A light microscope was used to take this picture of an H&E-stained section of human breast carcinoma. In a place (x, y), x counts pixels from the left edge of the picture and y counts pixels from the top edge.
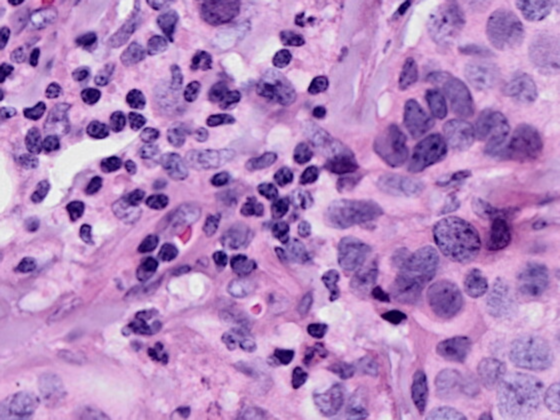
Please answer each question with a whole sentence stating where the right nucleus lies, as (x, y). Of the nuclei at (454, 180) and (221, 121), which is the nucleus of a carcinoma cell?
The nucleus whose cell is a carcinoma cell is the one at (454, 180).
